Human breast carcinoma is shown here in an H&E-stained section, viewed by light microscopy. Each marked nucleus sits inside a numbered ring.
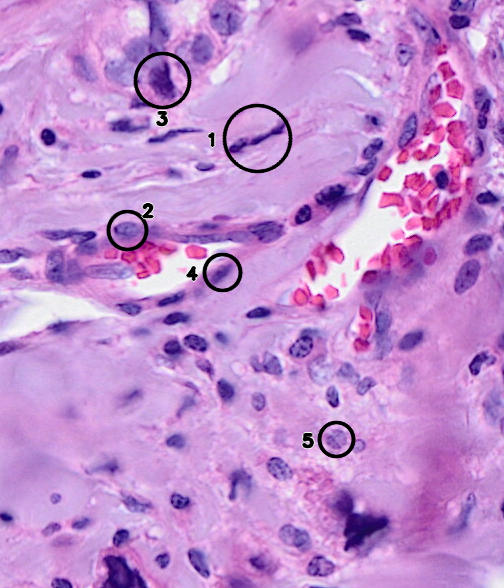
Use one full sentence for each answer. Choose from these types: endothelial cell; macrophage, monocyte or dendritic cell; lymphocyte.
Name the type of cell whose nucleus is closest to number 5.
The nucleus nearest to number 5 is that of a macrophage, monocyte or dendritic cell.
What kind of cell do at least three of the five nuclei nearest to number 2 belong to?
Most of the five nuclei nearest to number 2 are those of endothelial cells.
